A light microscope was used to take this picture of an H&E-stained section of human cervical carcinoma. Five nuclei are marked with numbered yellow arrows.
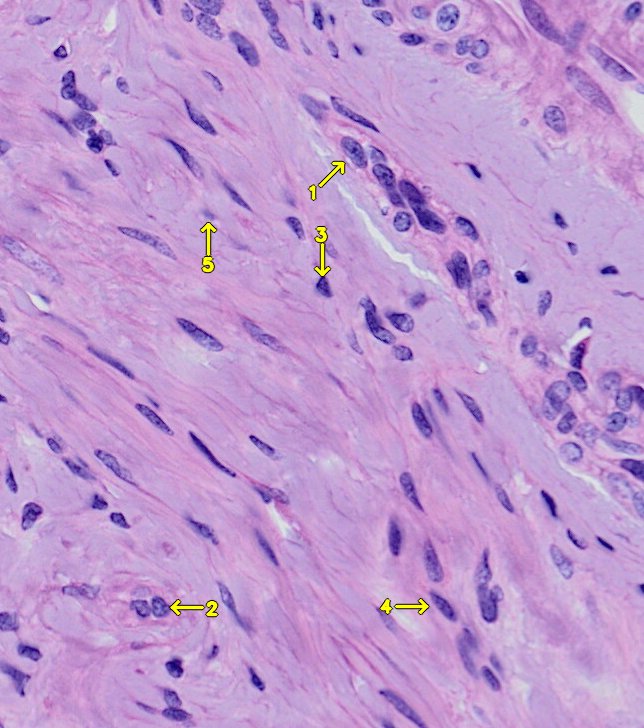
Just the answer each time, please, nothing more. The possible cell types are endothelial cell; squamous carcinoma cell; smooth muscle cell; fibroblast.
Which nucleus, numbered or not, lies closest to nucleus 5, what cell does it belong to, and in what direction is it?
a fibroblast; above and to the right of nucleus 5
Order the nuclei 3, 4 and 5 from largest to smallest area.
4, 3, 5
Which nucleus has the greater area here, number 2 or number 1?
1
